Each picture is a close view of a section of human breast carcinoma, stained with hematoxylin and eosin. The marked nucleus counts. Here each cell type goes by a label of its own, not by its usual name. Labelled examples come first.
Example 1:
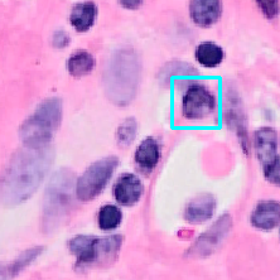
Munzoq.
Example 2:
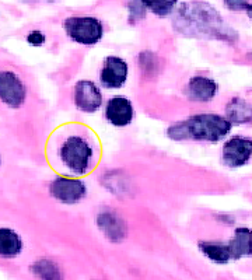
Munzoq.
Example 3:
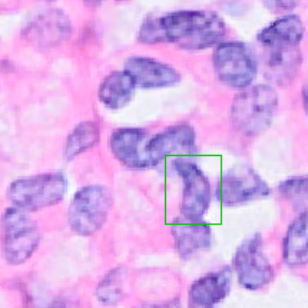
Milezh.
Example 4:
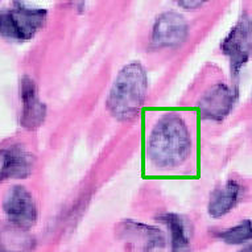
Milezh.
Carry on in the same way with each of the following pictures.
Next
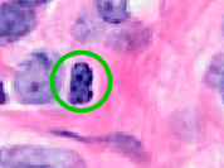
Munzoq.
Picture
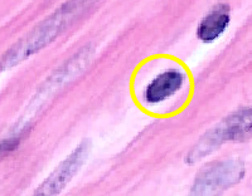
Munzoq.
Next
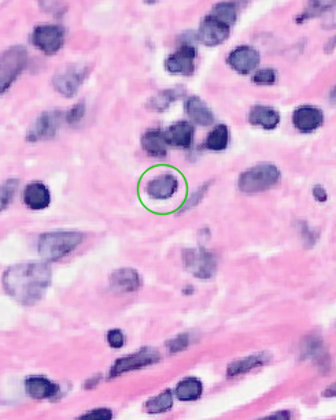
Munzoq.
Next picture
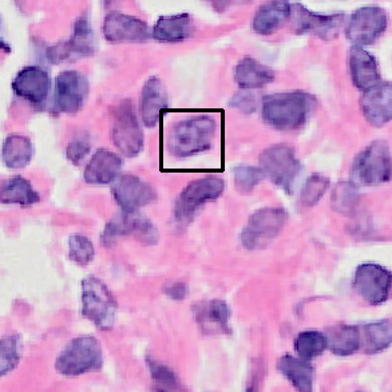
Milezh.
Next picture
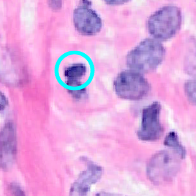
Munzoq.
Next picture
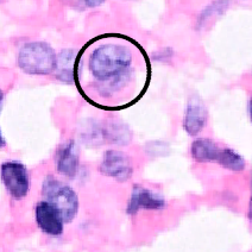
Milezh.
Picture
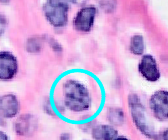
Munzoq.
